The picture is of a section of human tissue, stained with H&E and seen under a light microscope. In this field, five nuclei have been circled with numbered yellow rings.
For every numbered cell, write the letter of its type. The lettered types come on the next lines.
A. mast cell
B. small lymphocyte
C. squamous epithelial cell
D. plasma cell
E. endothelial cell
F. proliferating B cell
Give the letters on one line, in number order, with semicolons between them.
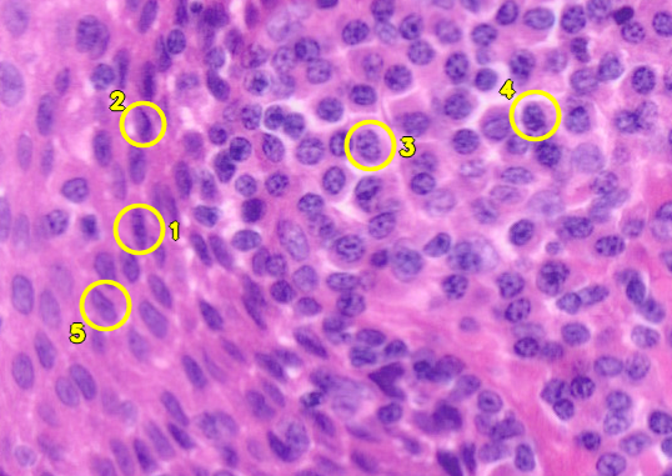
C; C; D; D; C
